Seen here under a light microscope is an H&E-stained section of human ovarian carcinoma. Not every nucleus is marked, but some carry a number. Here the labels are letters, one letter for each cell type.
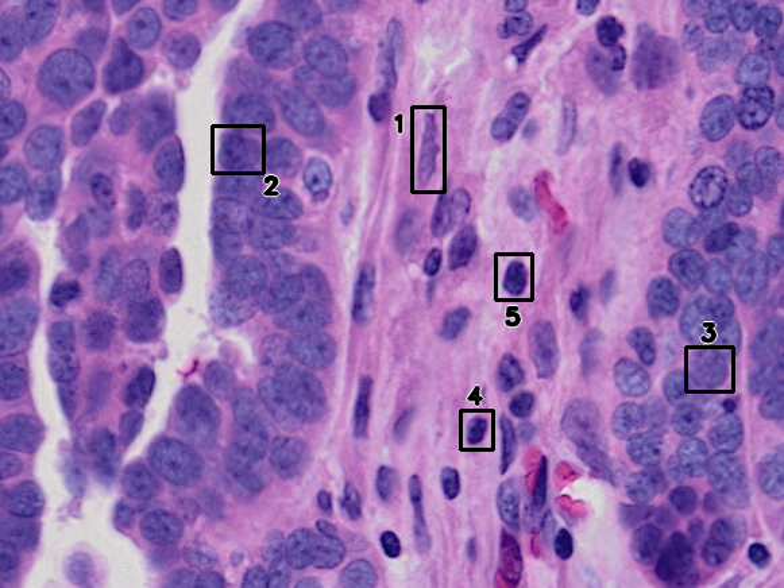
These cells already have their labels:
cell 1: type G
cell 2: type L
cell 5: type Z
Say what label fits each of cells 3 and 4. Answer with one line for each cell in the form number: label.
3: type L
4: type Z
